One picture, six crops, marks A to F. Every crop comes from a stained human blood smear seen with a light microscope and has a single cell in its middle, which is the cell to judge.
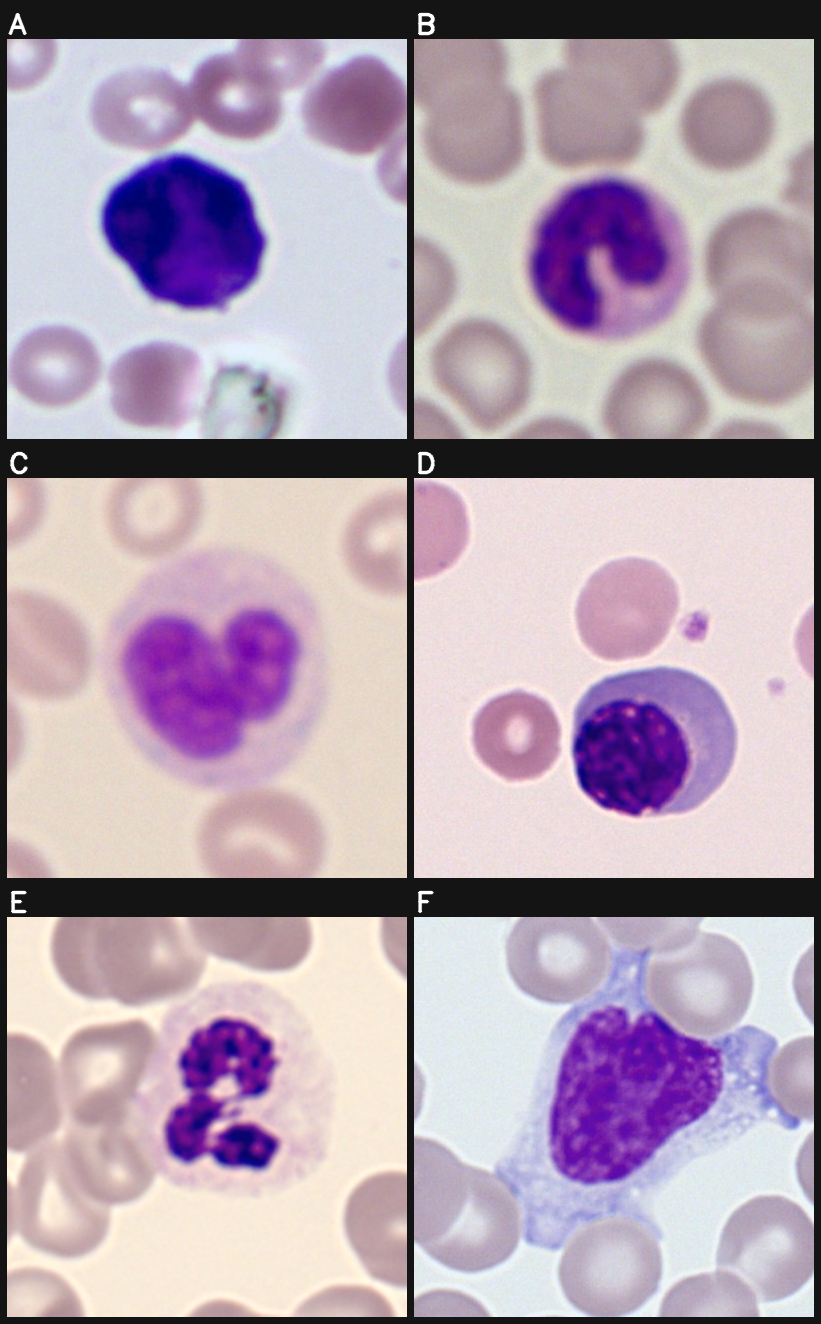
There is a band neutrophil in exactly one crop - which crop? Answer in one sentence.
In the set of crops, crop B is the one that contains a band neutrophil.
